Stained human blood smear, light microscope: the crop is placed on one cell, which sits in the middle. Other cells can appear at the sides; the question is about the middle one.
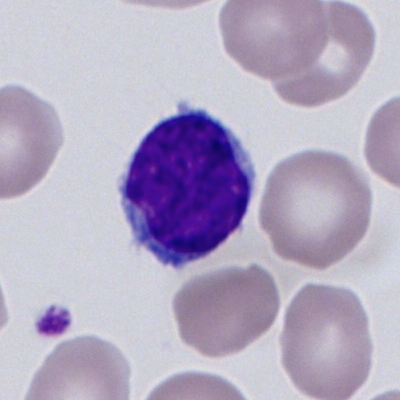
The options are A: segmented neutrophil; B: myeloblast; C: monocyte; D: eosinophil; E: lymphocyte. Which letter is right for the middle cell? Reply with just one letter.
E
